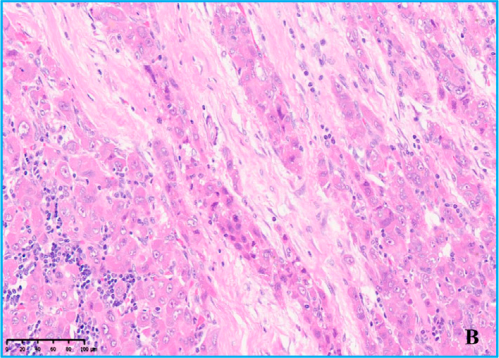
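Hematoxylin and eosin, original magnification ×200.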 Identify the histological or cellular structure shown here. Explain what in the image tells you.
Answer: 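Intratumoral fibrous tissue. Pale pink fibrous bands run in parallel across the field. Groups of large polygonal pink cells lie between the bands.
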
